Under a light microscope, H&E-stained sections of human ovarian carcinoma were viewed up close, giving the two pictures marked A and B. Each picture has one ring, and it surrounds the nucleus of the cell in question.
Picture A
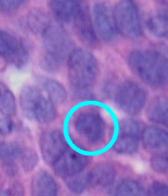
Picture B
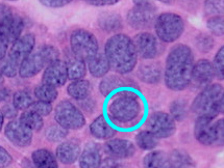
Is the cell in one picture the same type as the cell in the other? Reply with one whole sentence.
Yes, both cells are carcinoma cells.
